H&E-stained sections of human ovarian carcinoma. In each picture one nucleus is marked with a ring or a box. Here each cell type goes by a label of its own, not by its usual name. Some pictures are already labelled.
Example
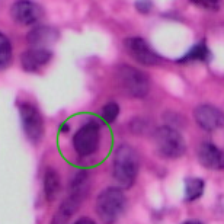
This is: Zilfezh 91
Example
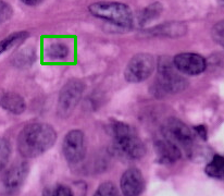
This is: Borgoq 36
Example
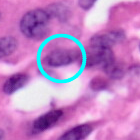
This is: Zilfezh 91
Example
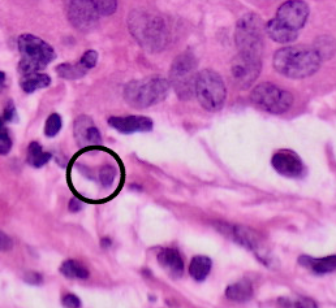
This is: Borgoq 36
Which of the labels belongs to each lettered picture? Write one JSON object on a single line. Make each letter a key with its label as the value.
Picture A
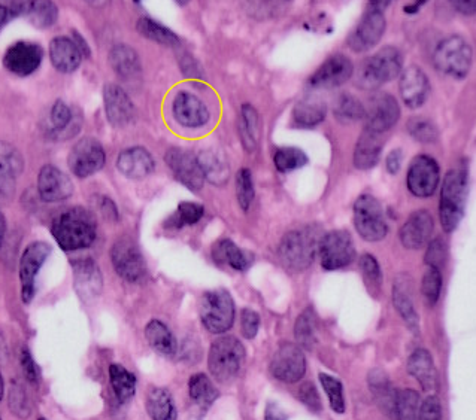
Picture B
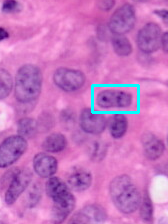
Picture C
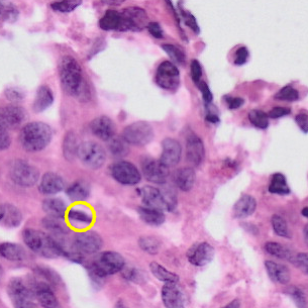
{"A": "Borgoq 36", "B": "Borgoq 36", "C": "Zilfezh 91"}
